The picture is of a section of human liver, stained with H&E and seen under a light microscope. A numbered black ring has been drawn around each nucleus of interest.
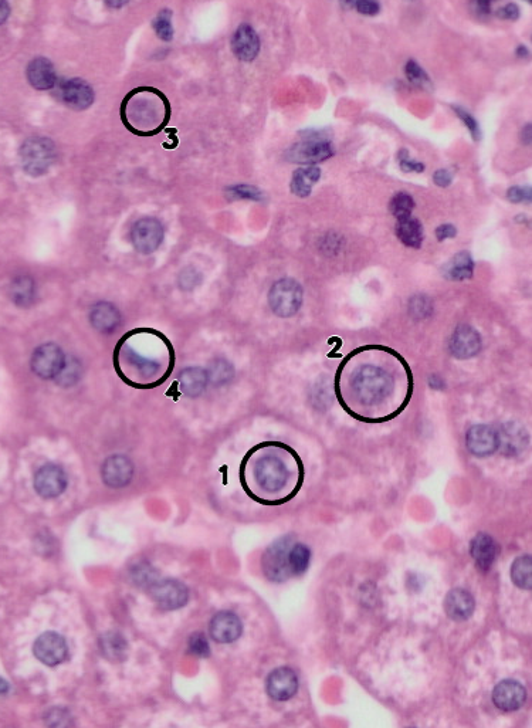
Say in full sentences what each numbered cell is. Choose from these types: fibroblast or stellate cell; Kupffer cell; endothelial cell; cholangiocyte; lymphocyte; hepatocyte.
Cell 1 is a hepatocyte, cell 2 is a hepatocyte, cell 3 is a hepatocyte and cell 4 is an endothelial cell.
